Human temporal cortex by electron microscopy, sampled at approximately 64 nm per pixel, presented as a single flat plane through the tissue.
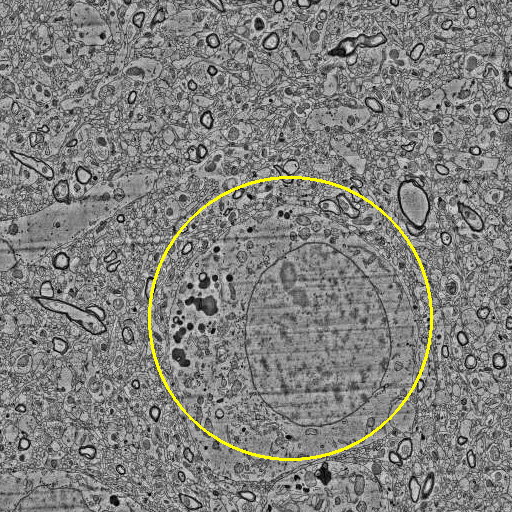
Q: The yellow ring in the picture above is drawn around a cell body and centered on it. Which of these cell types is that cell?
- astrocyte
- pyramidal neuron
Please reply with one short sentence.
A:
The cell body at the ring's center belongs to a pyramidal neuron.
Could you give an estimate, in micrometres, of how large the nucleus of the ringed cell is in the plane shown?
The ringed cell's nucleus measures approximately 12 by 10 micrometres in this plane.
